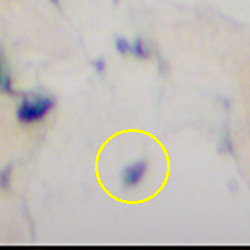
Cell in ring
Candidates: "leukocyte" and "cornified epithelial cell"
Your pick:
leukocyte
